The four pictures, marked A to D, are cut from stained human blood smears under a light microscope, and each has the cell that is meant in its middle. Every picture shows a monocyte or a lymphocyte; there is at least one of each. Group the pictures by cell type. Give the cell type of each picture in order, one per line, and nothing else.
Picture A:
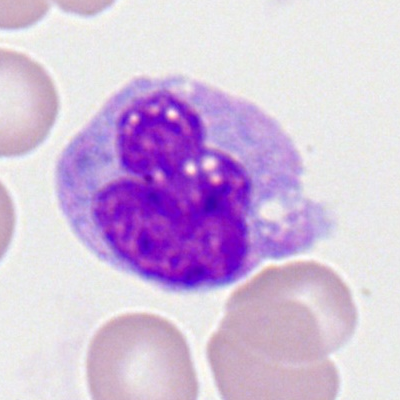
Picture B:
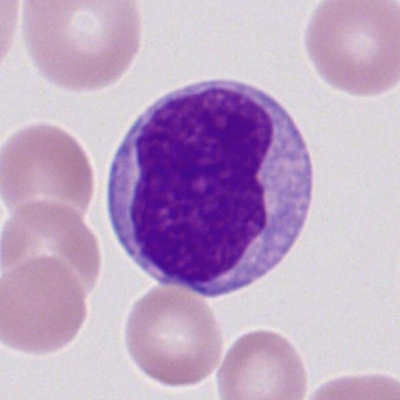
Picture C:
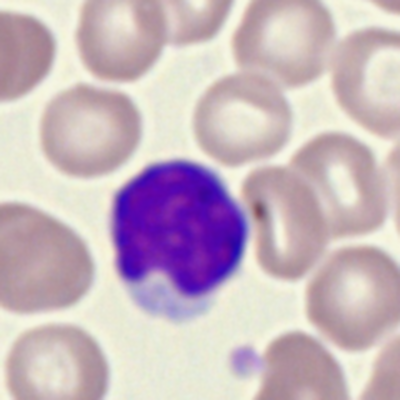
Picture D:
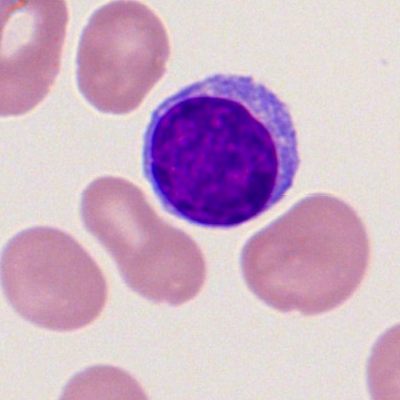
monocyte
monocyte
lymphocyte
lymphocyte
